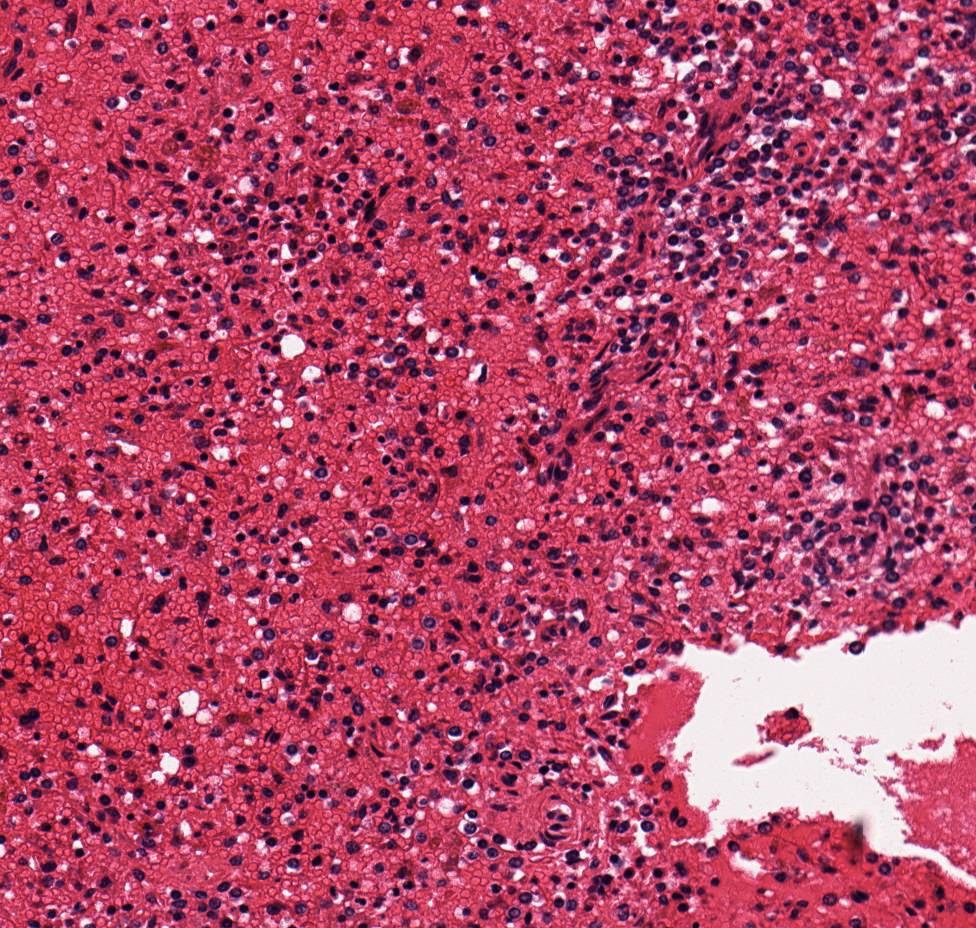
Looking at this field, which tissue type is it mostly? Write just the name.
red pulp of the spleen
